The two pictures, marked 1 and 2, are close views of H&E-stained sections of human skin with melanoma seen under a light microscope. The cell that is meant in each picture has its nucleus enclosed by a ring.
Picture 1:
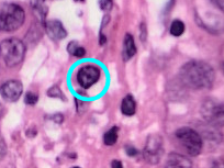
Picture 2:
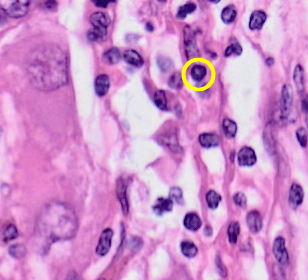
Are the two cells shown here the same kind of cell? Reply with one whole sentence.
No, picture 1 shows a plasma cell and picture 2 shows a lymphocyte.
